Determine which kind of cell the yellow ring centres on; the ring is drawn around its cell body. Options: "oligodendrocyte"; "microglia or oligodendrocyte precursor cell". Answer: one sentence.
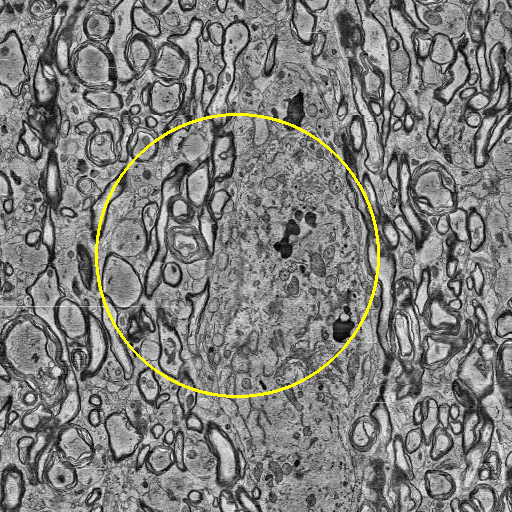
The ring centres on a microglial cell or oligodendrocyte precursor cell.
